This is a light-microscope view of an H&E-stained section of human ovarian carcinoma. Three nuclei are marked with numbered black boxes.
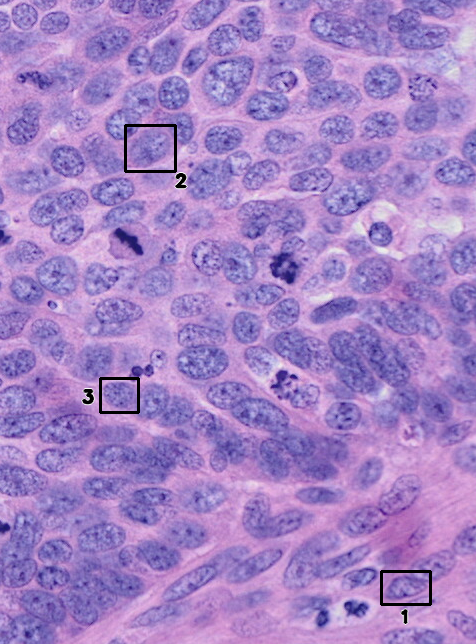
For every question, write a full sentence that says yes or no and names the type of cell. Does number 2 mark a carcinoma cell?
Yes, the cell shown as number 2 is a carcinoma cell.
